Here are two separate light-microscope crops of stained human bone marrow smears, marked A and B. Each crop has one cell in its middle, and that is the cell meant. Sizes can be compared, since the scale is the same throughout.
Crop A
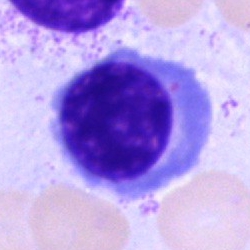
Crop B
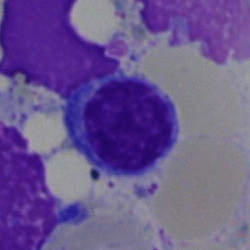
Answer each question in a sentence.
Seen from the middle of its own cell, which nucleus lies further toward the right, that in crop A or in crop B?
In crop B the nucleus is shifted more toward the right.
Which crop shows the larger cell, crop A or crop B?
Larger is the cell in crop A, at roughly 2 times the area of the other.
